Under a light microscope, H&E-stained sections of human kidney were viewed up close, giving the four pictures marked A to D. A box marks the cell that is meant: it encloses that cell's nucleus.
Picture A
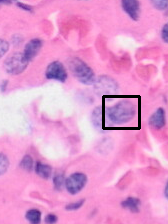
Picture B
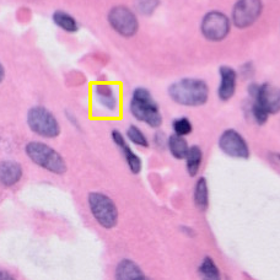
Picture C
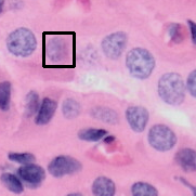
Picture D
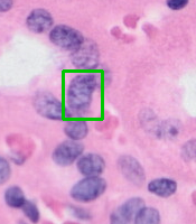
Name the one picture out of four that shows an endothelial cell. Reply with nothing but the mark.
B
